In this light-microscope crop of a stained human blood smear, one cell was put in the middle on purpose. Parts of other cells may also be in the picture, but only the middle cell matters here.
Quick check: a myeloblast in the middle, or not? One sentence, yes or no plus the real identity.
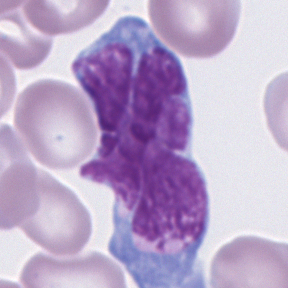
Yes, in the centre of this field sits a myeloblast.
